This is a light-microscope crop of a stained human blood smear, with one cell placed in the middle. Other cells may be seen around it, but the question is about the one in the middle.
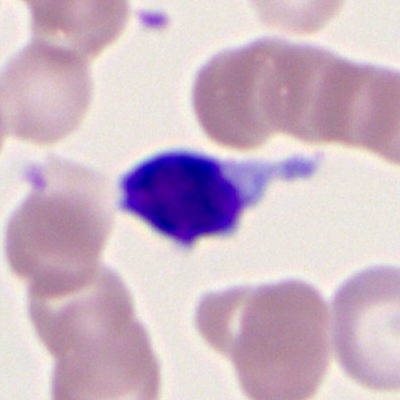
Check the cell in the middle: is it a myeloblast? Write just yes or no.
no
